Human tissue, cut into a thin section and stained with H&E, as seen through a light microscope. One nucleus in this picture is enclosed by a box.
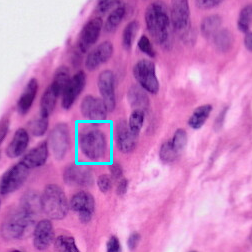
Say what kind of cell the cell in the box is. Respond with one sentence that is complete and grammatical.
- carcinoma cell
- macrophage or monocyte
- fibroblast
With respect to cell type, the cell in the box is a carcinoma cell.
